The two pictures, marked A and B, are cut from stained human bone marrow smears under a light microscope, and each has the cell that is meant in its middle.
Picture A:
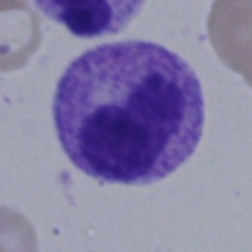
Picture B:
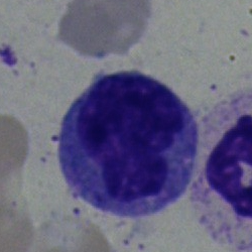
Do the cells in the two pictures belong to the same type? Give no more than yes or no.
no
